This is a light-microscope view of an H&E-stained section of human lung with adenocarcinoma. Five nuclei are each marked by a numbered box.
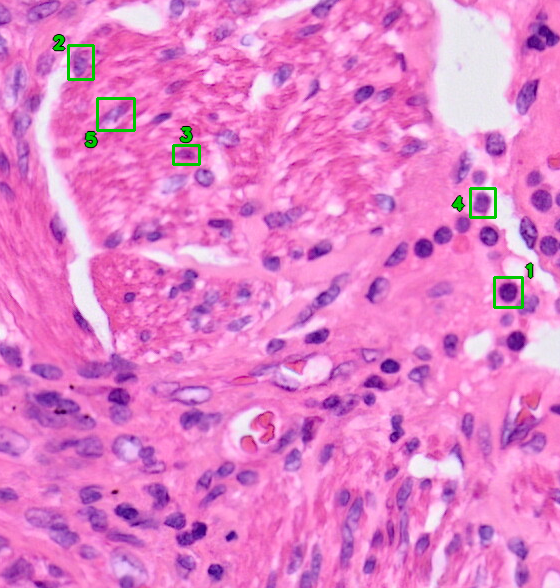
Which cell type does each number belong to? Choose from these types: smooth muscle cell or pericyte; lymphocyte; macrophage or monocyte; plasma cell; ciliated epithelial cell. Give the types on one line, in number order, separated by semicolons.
lymphocyte; smooth muscle cell or pericyte; smooth muscle cell or pericyte; lymphocyte; smooth muscle cell or pericyte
